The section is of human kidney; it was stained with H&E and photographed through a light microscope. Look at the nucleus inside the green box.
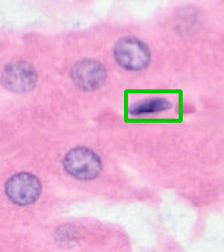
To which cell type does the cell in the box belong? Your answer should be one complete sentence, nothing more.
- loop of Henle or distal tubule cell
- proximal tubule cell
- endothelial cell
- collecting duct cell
In the stained section, the cell in the box is an endothelial cell.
